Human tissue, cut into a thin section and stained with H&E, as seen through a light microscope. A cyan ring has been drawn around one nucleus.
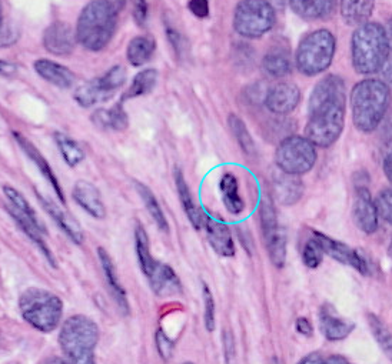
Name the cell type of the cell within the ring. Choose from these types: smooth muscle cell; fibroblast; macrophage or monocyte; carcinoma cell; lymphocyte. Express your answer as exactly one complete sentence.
In cell-type terms, the cell within the ring is a lymphocyte.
